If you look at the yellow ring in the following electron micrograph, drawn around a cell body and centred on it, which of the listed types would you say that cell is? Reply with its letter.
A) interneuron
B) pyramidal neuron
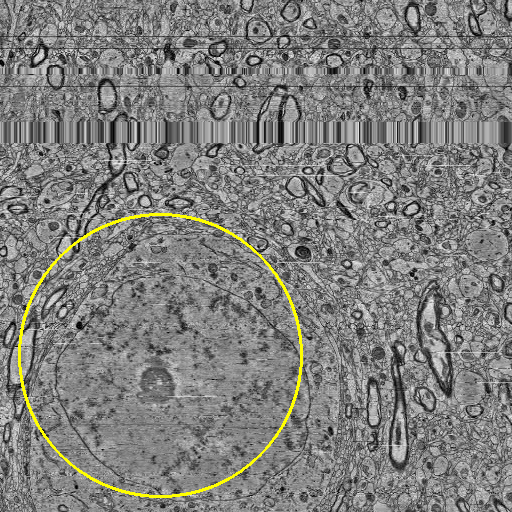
B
